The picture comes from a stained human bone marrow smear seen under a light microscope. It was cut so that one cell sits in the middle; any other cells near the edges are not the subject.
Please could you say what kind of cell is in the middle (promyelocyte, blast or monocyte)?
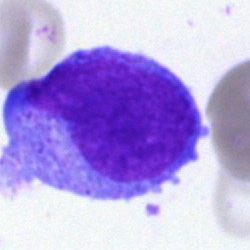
blast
